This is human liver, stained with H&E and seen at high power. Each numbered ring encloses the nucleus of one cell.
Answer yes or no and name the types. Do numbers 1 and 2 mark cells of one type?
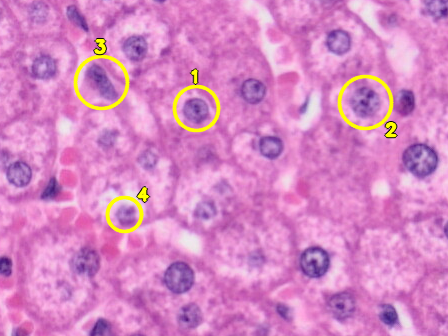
Yes, the pair of cells 1 and 2 are both hepatocytes.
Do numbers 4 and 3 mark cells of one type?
No, just to clarify, cell 4 is a hepatocyte and cell 3 is a Kupffer cell.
